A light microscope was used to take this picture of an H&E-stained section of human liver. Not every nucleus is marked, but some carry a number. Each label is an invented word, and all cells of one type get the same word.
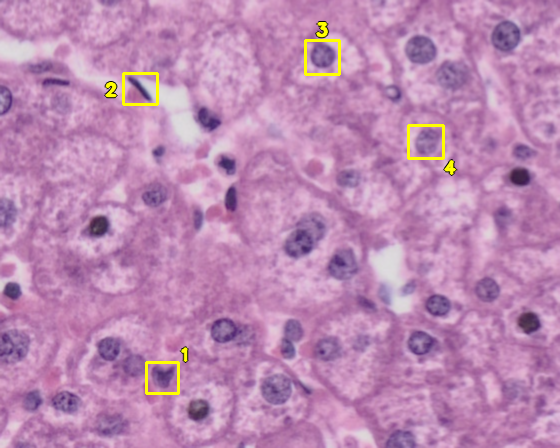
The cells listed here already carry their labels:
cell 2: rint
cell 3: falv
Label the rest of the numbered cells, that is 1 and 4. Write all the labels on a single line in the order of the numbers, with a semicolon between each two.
rint; falv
